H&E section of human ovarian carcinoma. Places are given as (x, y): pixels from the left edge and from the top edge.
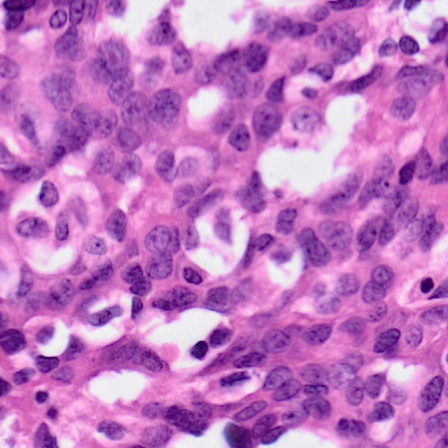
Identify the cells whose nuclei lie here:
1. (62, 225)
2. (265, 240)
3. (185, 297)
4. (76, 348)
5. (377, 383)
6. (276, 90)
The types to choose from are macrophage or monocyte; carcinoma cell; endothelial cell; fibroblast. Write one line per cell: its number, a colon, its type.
1: macrophage or monocyte
2: macrophage or monocyte
3: carcinoma cell
4: carcinoma cell
5: carcinoma cell
6: carcinoma cell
